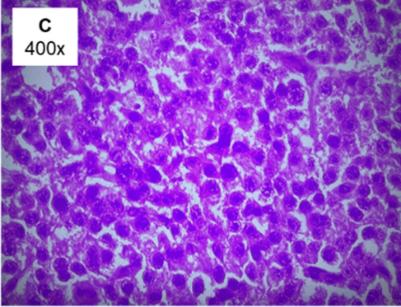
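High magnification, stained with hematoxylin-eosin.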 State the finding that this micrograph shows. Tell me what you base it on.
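Hyperchromatic. Nuclei are stained deep purple. Nuclei are round to oval and crowded.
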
